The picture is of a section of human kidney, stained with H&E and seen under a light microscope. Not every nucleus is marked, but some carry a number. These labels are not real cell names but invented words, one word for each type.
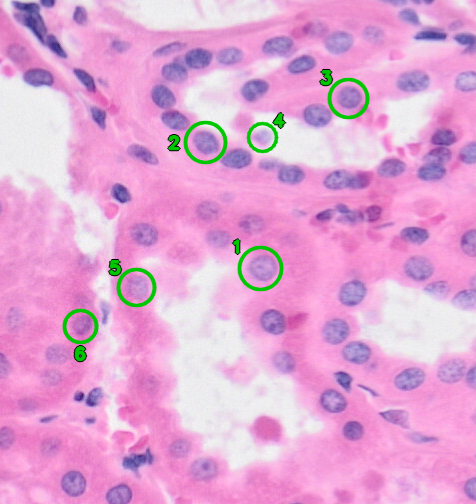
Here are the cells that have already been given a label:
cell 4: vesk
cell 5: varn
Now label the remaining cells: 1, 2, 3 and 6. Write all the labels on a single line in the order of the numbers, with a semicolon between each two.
varn; vesk; vesk; varn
